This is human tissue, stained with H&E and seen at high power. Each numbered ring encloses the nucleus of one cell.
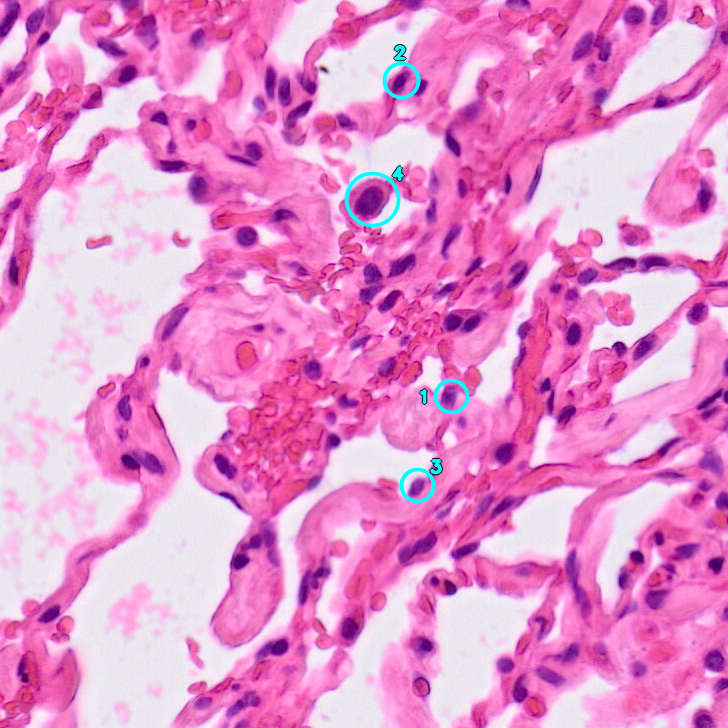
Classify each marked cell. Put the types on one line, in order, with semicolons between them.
type I pneumocyte; endothelial cell; type I pneumocyte; macrophage or monocyte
